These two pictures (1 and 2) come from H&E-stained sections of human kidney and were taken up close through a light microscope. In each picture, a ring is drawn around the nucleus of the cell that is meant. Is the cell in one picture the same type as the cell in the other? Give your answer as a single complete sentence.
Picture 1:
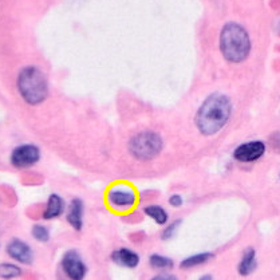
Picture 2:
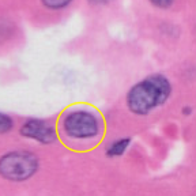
No, picture 1 shows an endothelial cell and picture 2 shows a “loop of Henle or distal tubule cell”.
